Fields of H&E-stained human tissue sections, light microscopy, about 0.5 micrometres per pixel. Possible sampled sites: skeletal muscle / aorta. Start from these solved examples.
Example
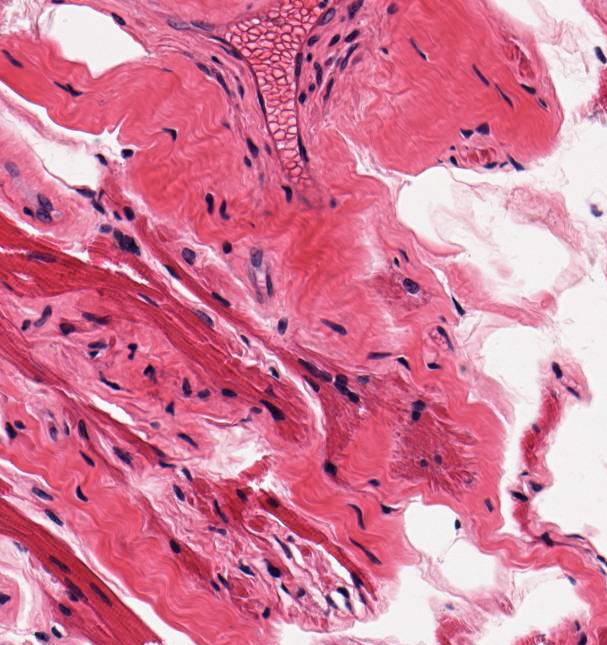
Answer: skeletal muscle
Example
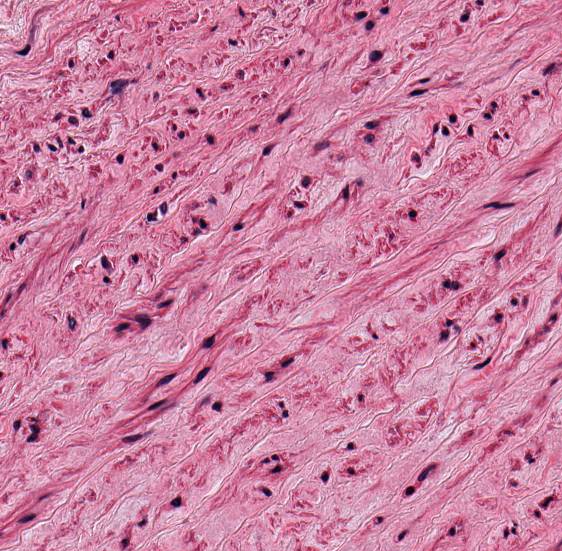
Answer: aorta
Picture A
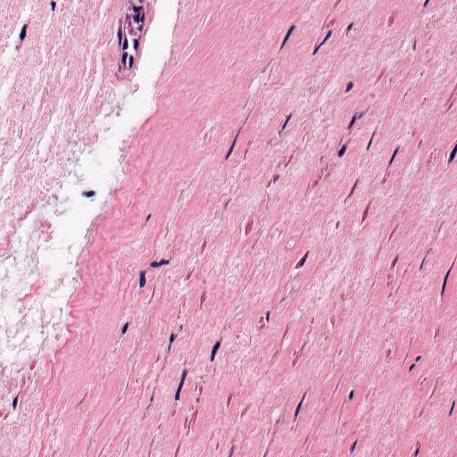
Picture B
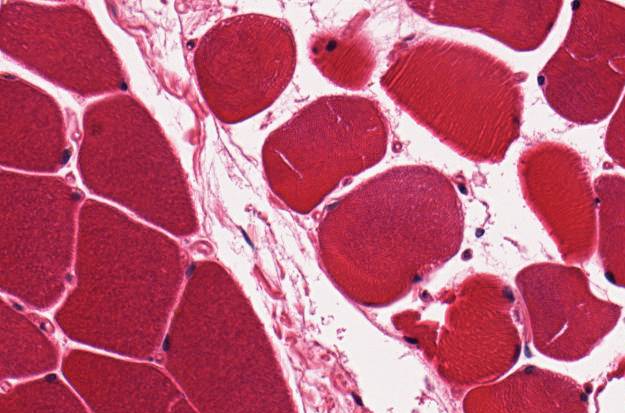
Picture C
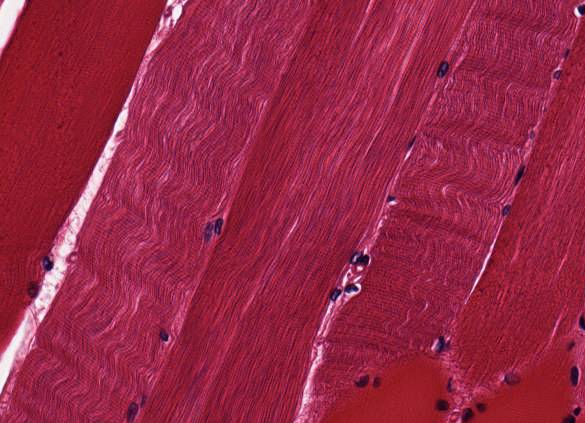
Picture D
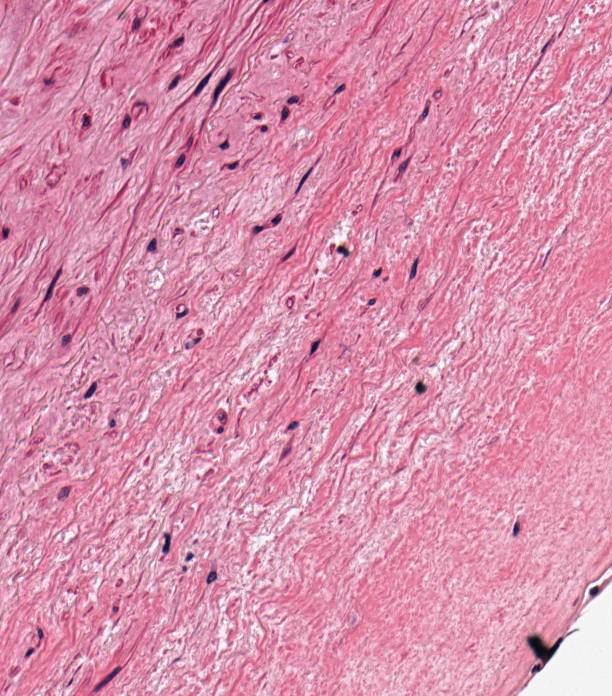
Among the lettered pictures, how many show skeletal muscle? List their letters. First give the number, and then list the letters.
2, namely B, C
